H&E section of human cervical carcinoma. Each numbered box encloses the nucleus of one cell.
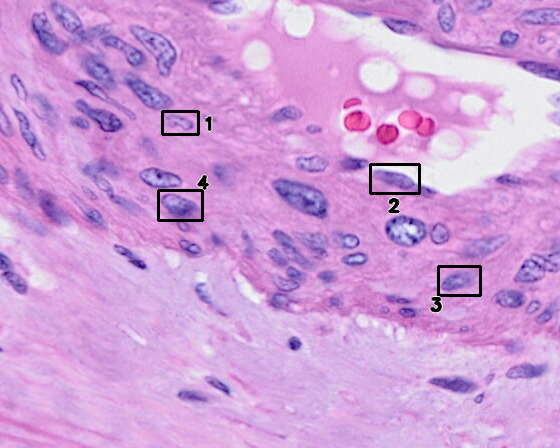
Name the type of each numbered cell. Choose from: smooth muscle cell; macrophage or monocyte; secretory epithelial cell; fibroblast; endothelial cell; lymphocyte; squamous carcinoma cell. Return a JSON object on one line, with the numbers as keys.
{"1": "smooth muscle cell", "2": "endothelial cell", "3": "smooth muscle cell", "4": "smooth muscle cell"}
